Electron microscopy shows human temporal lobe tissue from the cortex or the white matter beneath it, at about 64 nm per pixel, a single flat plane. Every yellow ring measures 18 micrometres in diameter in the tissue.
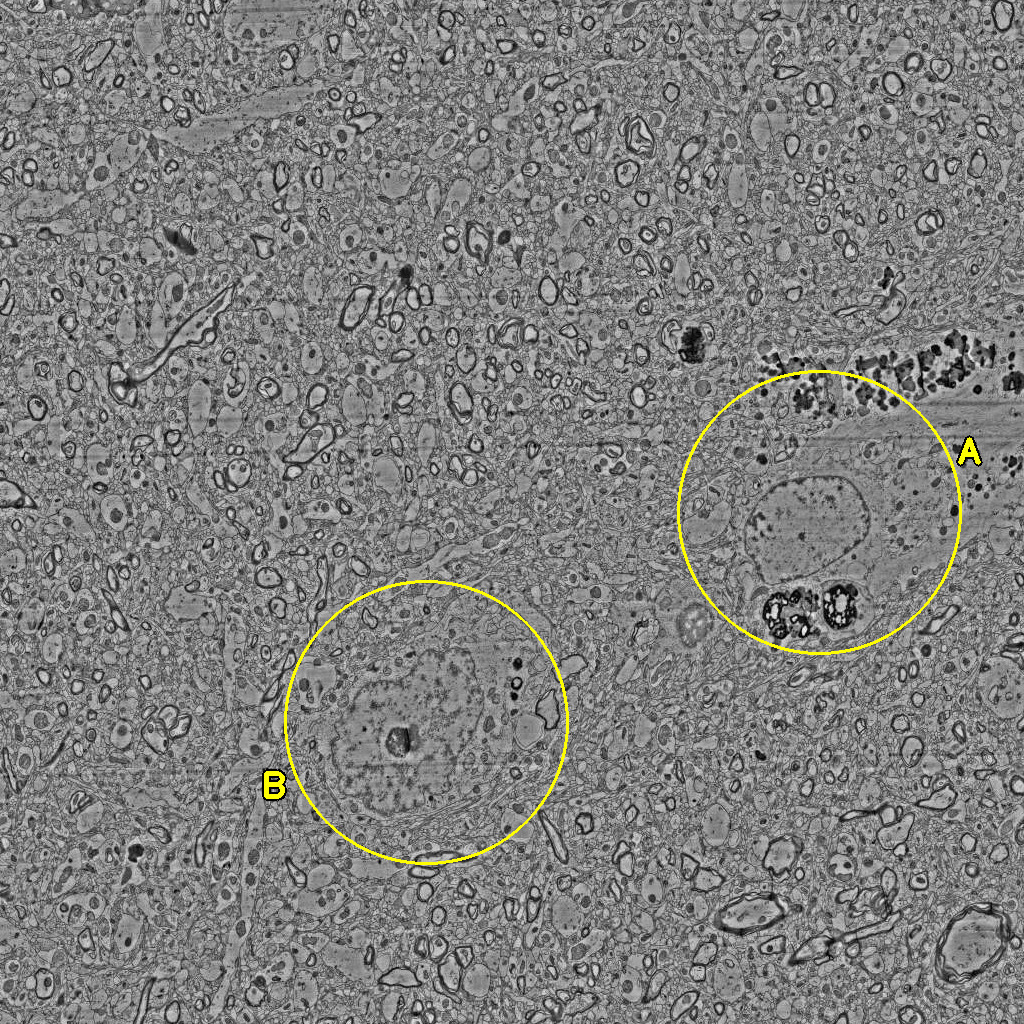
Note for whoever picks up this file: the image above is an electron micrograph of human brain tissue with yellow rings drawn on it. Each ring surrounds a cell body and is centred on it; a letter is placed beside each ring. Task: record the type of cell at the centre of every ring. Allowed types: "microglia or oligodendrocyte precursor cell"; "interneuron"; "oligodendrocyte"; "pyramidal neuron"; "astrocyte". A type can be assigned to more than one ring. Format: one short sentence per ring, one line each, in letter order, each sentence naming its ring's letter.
The ring marked A is centred on an astrocyte.
The ring marked B is centred on an interneuron.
